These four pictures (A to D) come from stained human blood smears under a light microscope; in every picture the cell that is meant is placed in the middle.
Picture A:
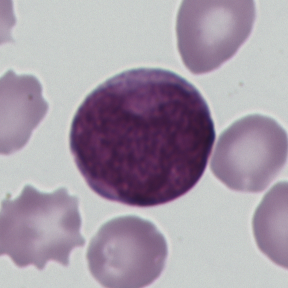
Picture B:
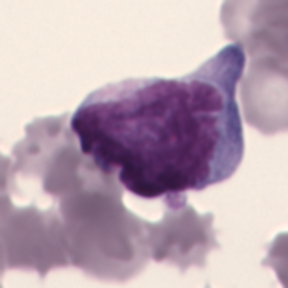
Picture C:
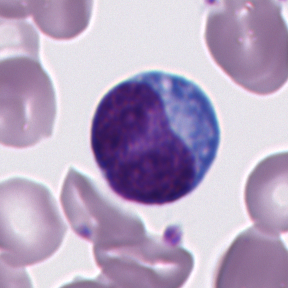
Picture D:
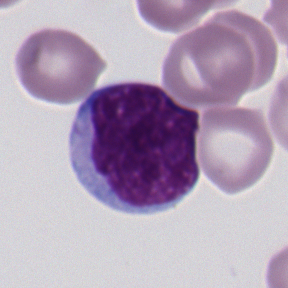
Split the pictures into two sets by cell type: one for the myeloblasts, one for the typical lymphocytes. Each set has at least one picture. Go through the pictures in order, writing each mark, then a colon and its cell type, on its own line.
A: myeloblast
B: myeloblast
C: typical lymphocyte
D: typical lymphocyte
